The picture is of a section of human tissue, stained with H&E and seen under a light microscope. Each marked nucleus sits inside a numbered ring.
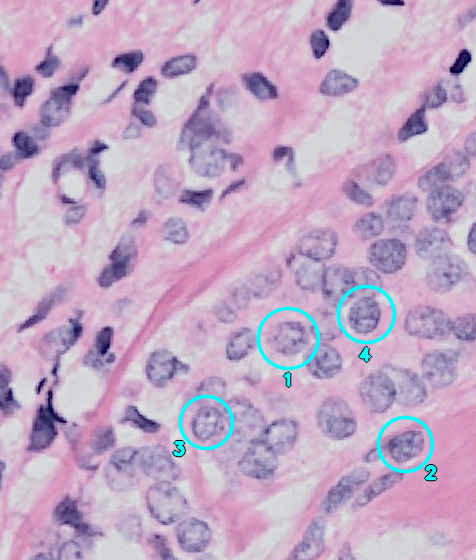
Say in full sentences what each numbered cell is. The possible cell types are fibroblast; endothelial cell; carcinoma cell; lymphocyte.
Cell 1 is a carcinoma cell, cell 2 is an endothelial cell, cell 3 is a carcinoma cell and cell 4 is a carcinoma cell.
